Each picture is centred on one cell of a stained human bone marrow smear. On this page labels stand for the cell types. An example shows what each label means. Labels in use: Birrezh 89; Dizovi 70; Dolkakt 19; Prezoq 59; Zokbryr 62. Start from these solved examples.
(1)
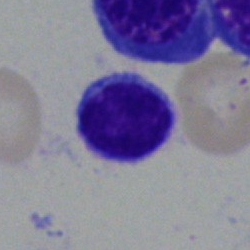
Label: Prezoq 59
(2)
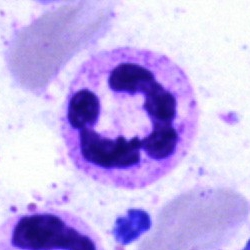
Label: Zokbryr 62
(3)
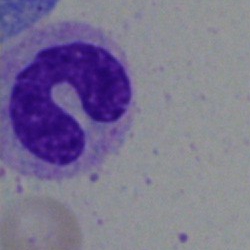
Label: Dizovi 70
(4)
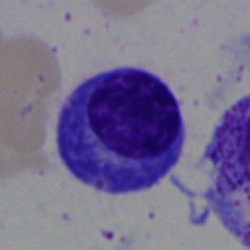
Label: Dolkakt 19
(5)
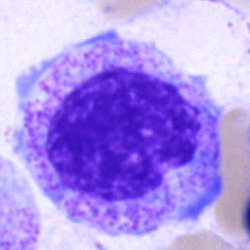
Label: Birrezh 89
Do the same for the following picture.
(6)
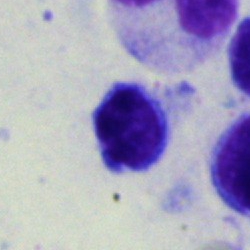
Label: Prezoq 59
